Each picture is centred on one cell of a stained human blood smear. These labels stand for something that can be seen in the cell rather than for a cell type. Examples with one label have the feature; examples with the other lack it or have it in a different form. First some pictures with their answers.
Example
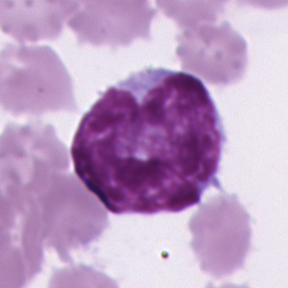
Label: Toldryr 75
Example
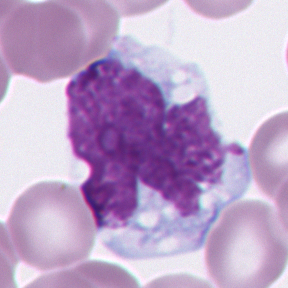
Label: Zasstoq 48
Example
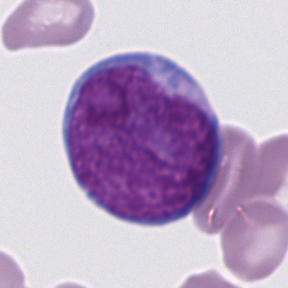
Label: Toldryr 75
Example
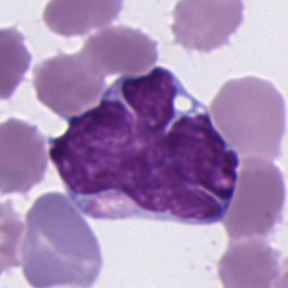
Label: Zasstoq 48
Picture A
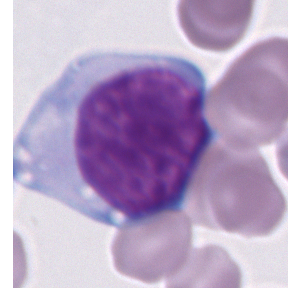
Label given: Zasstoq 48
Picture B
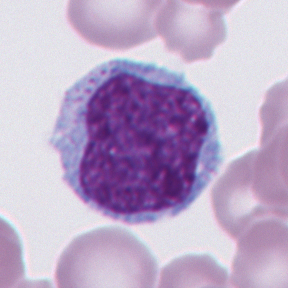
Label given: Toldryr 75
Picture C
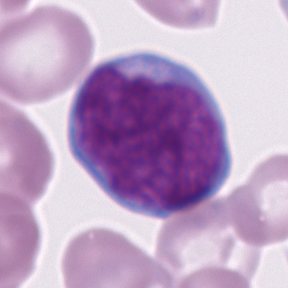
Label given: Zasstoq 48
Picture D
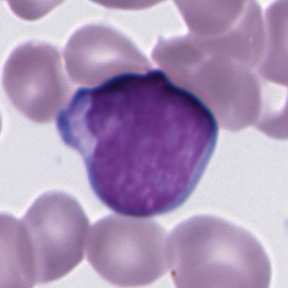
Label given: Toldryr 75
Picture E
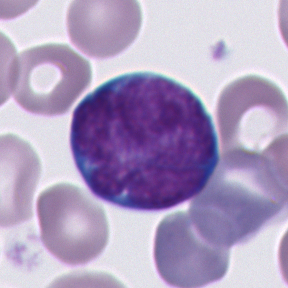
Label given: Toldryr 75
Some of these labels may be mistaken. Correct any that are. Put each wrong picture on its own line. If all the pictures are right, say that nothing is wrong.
Wrong: C (Zasstoq 48); correct: Toldryr 75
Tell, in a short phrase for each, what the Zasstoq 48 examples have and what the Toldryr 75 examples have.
Zasstoq 48, vacuoles present; Toldryr 75, no vacuoles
